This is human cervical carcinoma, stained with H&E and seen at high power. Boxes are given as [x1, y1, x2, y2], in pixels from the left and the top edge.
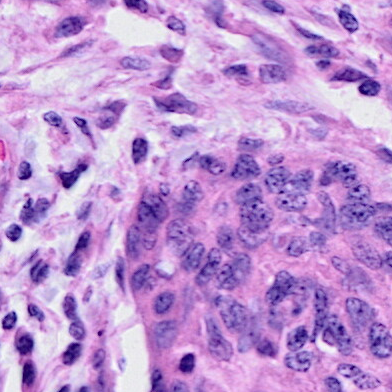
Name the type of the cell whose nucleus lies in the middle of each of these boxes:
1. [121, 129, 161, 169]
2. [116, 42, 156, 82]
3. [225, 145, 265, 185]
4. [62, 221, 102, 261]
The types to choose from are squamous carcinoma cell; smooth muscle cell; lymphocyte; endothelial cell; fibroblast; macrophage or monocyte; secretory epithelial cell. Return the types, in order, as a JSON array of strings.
["lymphocyte", "fibroblast", "squamous carcinoma cell", "lymphocyte"]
